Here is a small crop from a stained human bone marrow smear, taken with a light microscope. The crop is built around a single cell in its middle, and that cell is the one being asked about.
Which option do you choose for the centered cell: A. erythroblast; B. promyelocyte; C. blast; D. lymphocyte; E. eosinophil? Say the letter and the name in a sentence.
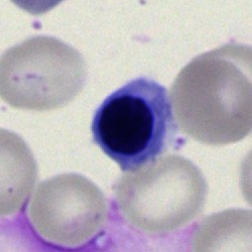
The centered cell is an erythroblast, which is why option A is right.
